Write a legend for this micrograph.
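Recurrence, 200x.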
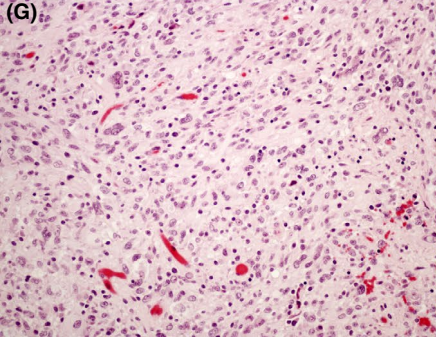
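Nuclei differ in size and shape, some elongated and others rounded or enlarged, and the cells have pink cytoplasm. Small bright red blood-filled vessels and red blood cells are scattered among the tumor cells.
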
